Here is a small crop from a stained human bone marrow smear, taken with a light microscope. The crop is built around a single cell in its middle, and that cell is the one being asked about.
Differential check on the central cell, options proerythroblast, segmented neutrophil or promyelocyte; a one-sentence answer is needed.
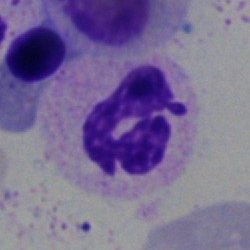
The cell centred in this crop is categorized as a segmented neutrophil.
